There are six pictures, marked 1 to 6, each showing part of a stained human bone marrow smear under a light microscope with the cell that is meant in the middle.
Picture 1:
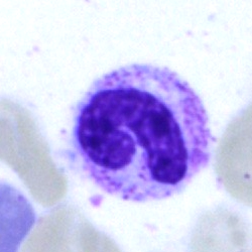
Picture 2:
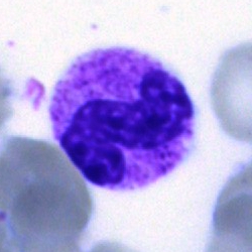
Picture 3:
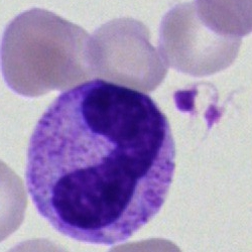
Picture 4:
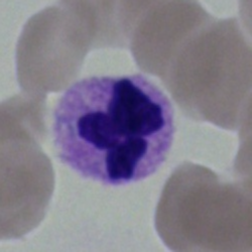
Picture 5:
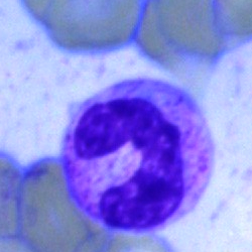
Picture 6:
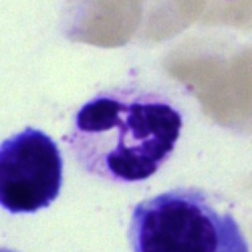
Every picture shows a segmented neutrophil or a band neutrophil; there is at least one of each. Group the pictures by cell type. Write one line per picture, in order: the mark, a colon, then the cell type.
1: band neutrophil
2: band neutrophil
3: band neutrophil
4: segmented neutrophil
5: band neutrophil
6: segmented neutrophil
